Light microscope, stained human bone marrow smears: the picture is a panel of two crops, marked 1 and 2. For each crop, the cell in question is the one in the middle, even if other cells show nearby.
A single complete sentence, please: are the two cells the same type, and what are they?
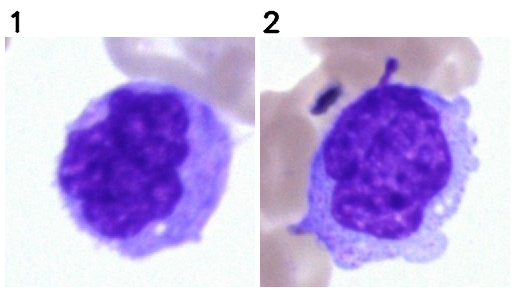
Yes, both crops show monocytes as the central cells.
